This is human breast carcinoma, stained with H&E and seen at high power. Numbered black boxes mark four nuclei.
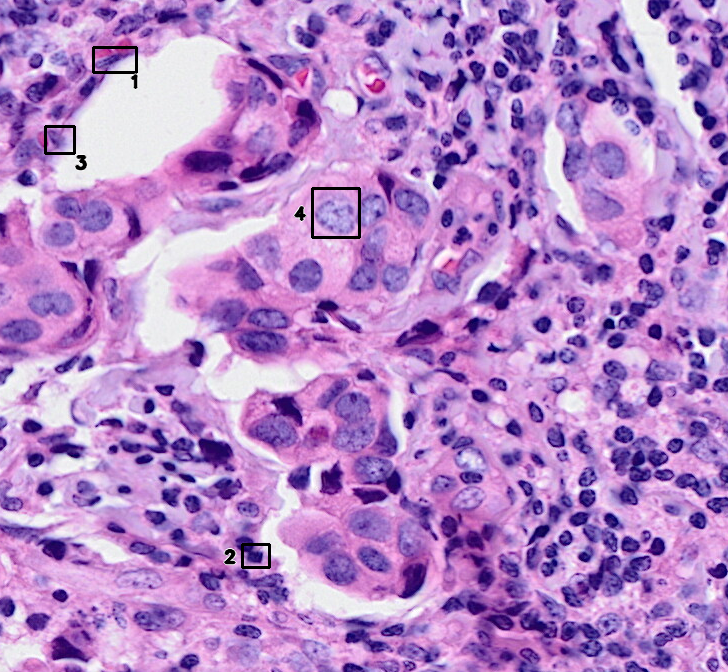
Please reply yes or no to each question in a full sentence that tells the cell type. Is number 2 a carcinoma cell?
No, cell 2 is not a carcinoma cell; a lymphocyte is the correct identification.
